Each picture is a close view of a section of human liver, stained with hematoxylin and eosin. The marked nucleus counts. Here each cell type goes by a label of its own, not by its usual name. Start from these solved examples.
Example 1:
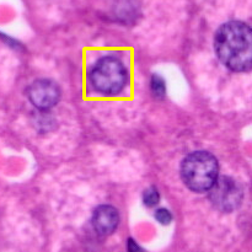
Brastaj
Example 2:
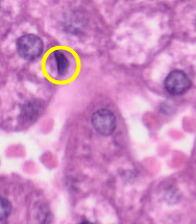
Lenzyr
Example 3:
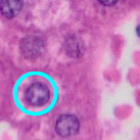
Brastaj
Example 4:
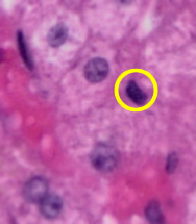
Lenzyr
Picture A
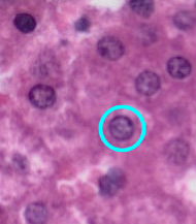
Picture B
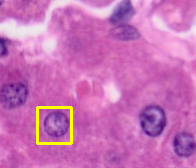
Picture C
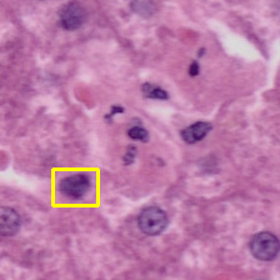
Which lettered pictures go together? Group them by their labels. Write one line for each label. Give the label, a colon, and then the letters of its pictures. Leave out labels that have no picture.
Brastaj: A, B
Lenzyr: C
